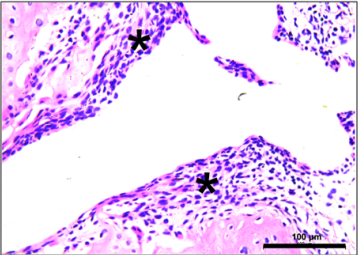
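This is synovial tissue of a joint densely crowded with inflammatory cells. Two folds of synovium, at the top left and bottom, are packed with many small, round to oval, dark purple nuclei with little cytoplasm between them. The folds border a clear, empty joint space, and loose strands and small fragments of cellular tissue lie within it. At the upper left edge pale pink matrix of cartilage or bone with scattered nuclei borders the infiltrated tissue.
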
